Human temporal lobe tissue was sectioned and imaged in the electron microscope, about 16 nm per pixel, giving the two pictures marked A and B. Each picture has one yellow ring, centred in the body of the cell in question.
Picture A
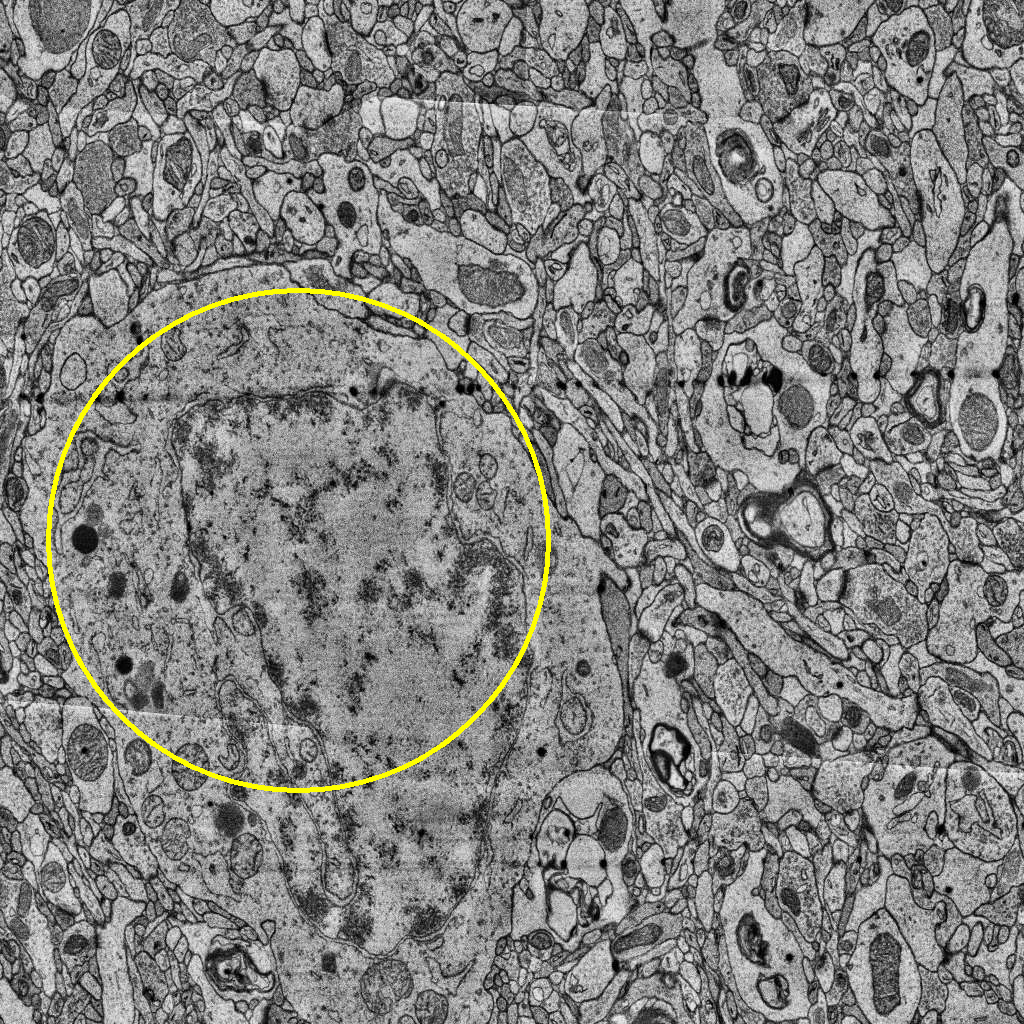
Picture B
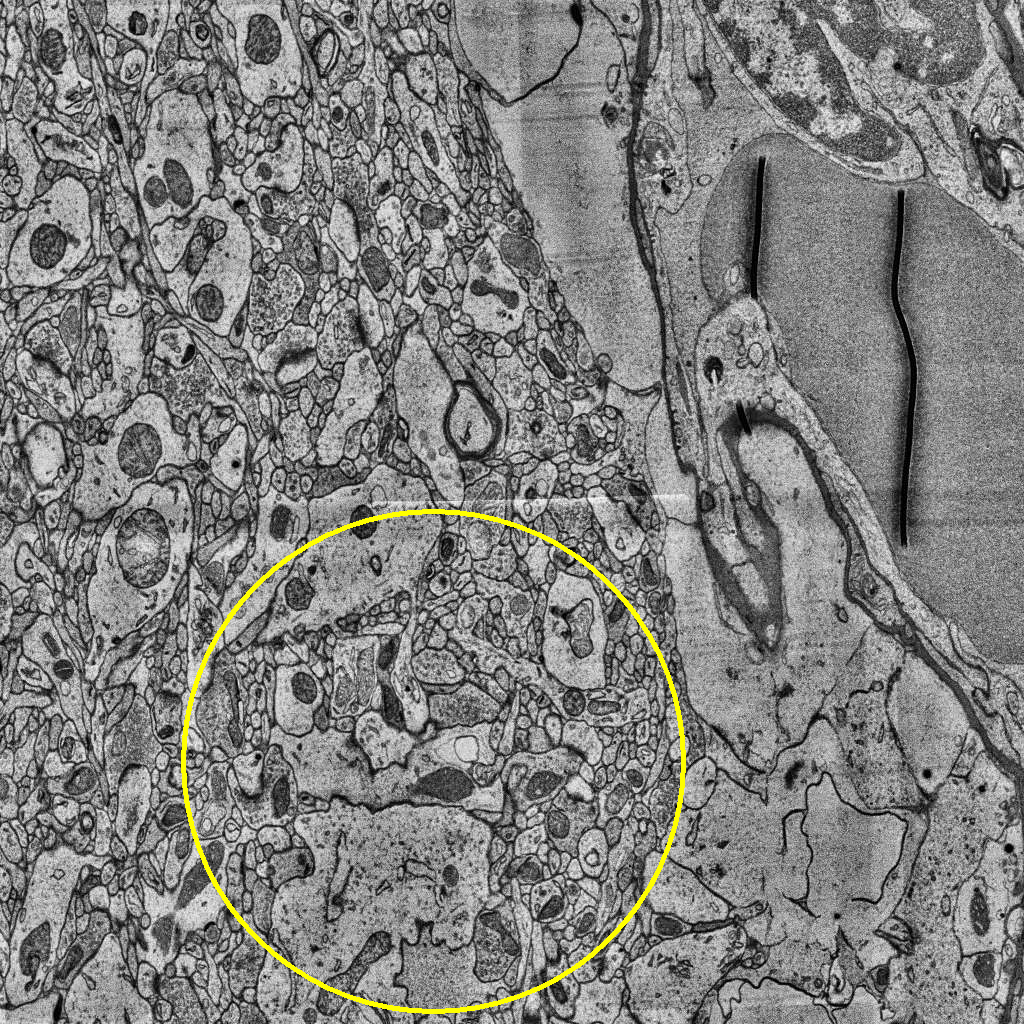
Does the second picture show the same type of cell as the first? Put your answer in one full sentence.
Yes, both are interneurons.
